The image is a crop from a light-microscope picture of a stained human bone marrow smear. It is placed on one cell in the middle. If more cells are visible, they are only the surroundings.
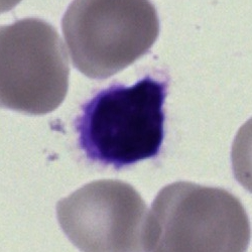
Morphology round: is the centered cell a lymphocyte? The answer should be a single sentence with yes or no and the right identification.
Yes, a lymphocyte is the cell positioned in the middle of the field.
